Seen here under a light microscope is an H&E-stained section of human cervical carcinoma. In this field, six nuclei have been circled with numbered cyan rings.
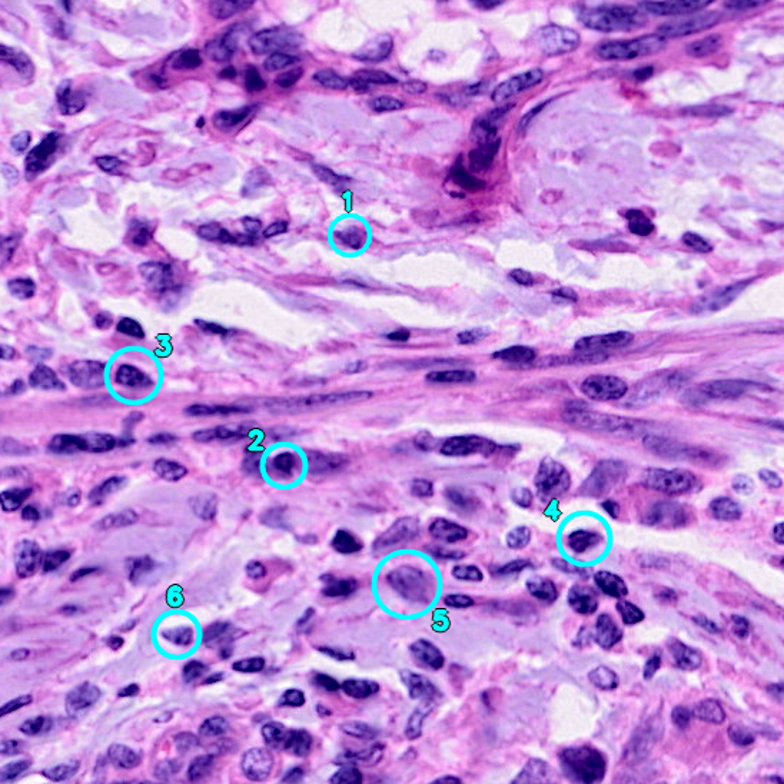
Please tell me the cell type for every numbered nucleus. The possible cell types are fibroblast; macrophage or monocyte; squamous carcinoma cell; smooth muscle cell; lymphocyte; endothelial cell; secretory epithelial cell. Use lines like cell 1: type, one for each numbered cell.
cell 1: fibroblast
cell 2: lymphocyte
cell 3: lymphocyte
cell 4: lymphocyte
cell 5: macrophage or monocyte
cell 6: lymphocyte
